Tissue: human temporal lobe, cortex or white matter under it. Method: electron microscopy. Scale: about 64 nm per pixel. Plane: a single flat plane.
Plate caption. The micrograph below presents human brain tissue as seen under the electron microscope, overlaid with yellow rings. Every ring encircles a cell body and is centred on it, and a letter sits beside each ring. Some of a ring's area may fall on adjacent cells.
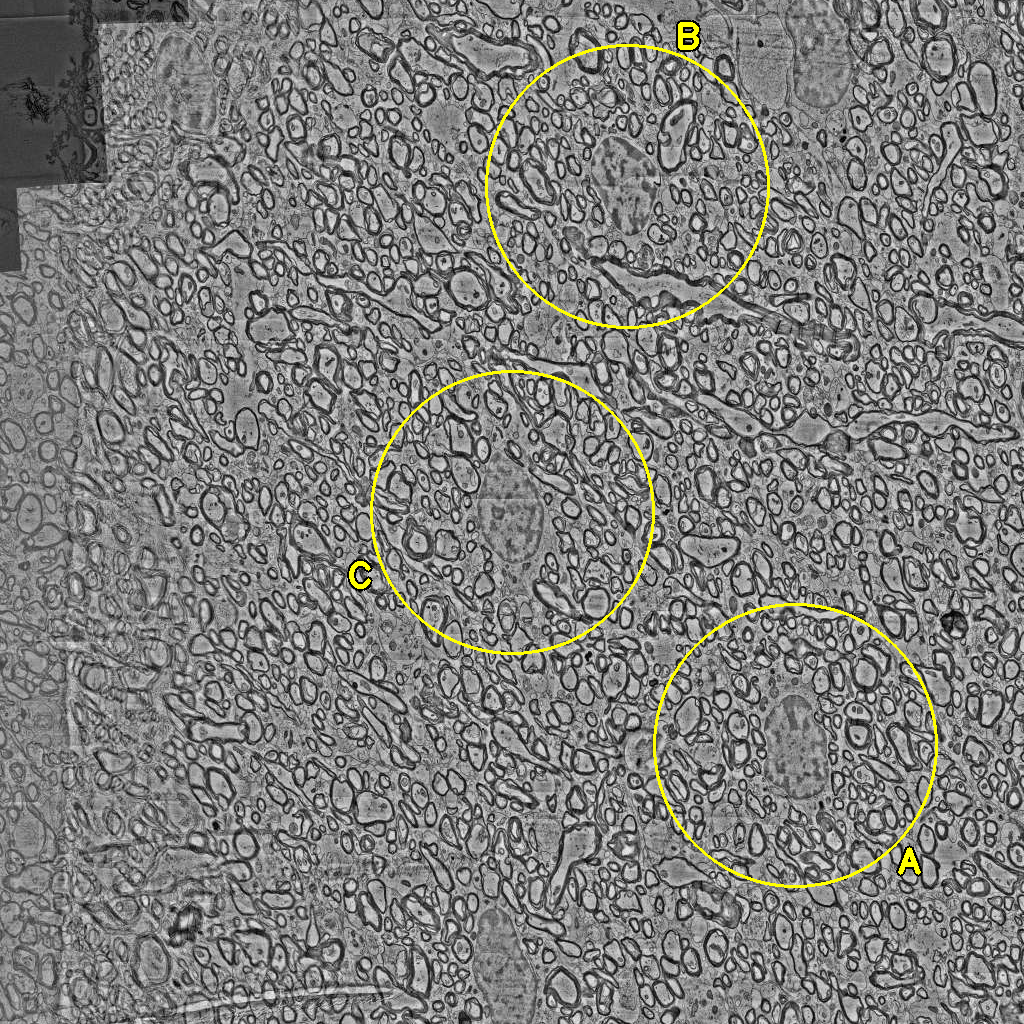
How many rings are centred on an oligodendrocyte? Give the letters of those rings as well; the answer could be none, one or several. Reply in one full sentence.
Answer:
A total of two rings, those beside the letters A and C, are each centred on an oligodendrocyte.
